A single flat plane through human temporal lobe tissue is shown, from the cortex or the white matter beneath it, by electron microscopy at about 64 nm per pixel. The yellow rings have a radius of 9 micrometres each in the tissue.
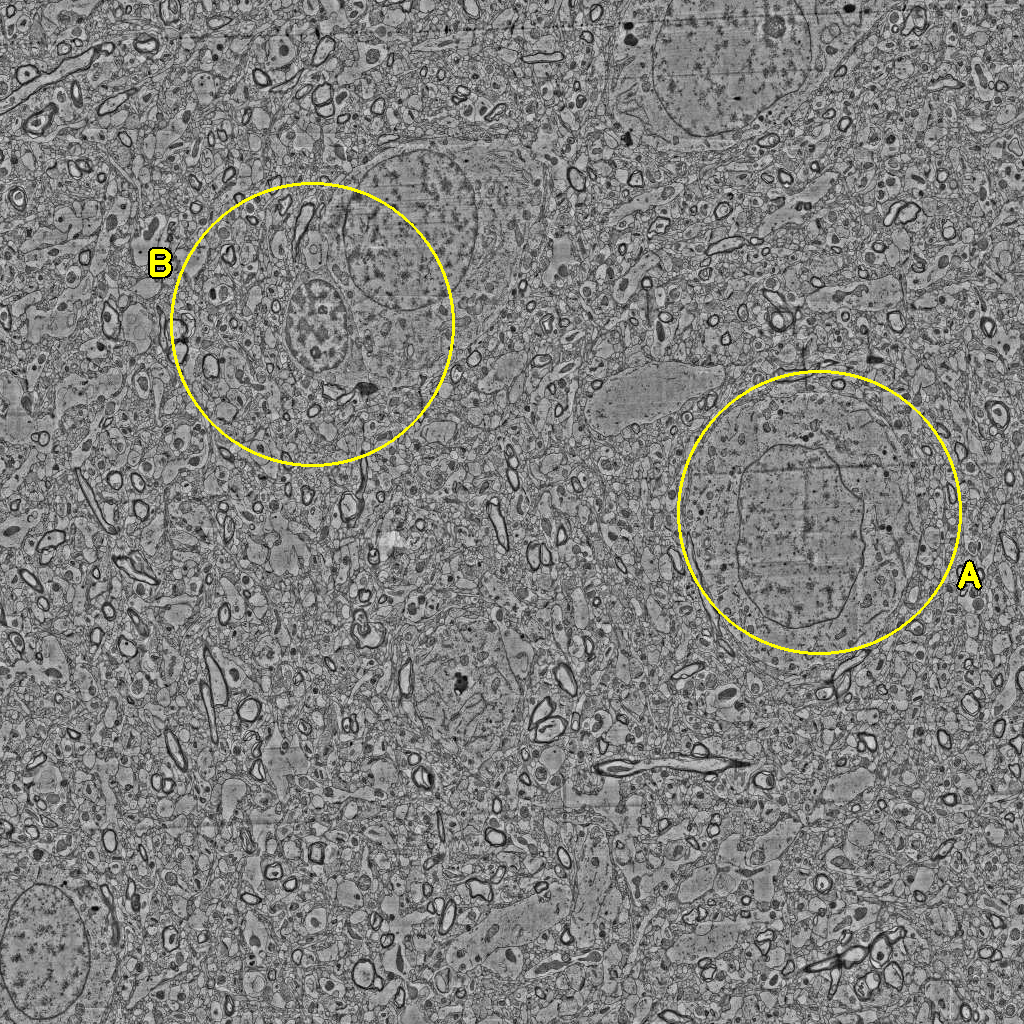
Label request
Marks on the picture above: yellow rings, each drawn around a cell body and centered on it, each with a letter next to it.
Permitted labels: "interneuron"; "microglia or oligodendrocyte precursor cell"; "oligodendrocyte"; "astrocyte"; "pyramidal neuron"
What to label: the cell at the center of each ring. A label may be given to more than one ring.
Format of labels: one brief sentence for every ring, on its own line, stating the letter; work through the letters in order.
The cell at the center of ring A is a pyramidal neuron.
The cell at the center of ring B is an oligodendrocyte.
